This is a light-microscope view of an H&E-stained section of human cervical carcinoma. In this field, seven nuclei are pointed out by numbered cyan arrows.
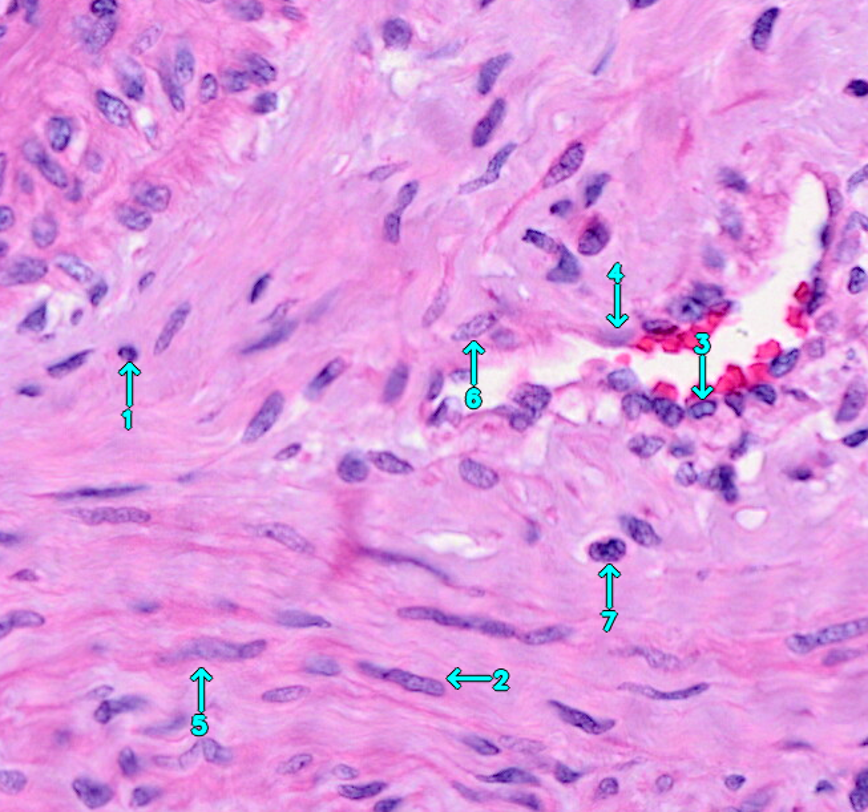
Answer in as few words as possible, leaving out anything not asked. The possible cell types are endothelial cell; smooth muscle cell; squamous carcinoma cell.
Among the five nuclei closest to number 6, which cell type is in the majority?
endothelial cell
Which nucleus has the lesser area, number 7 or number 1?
1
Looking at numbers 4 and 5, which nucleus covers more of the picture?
5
